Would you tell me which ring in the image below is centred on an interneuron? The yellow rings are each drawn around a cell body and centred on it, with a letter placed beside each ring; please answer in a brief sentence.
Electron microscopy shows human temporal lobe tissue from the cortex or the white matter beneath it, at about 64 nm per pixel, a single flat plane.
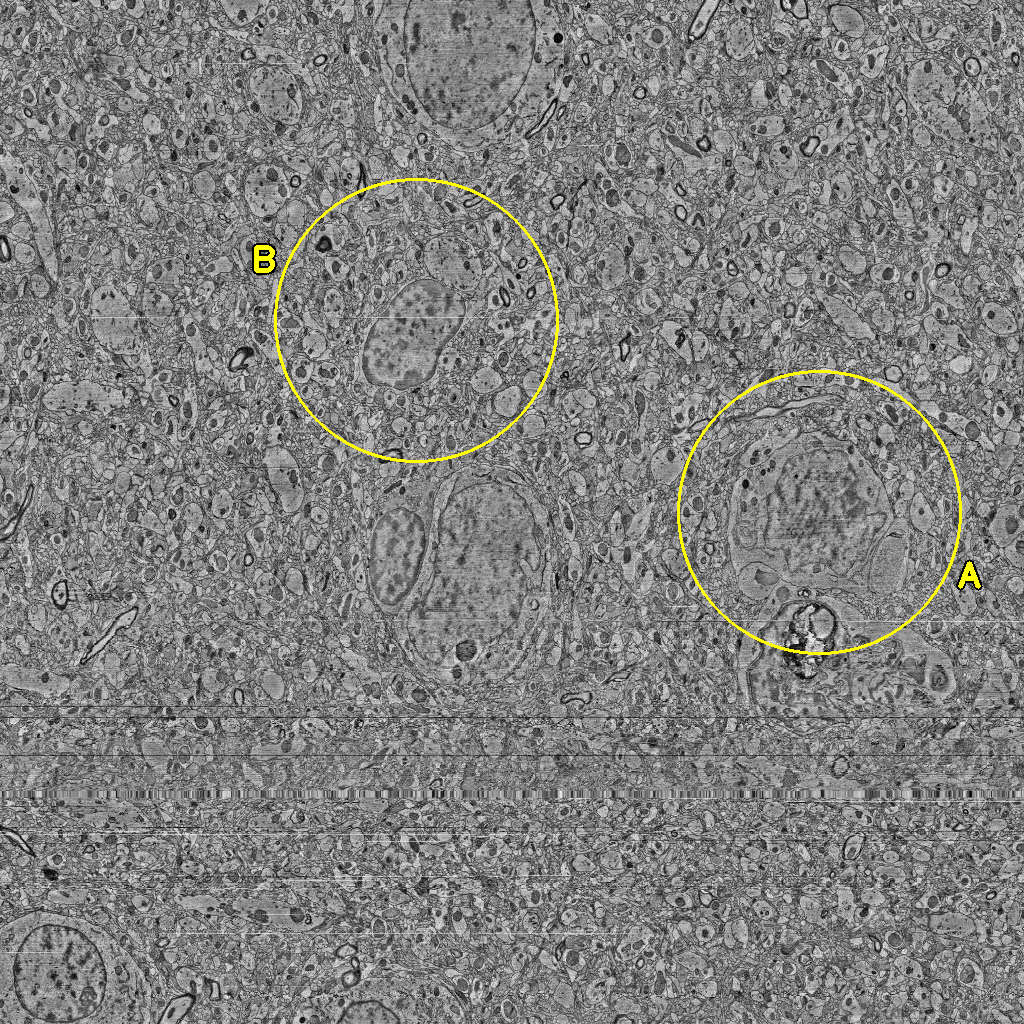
Ring A is centred on it.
